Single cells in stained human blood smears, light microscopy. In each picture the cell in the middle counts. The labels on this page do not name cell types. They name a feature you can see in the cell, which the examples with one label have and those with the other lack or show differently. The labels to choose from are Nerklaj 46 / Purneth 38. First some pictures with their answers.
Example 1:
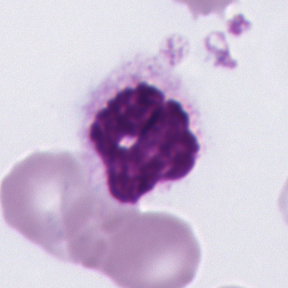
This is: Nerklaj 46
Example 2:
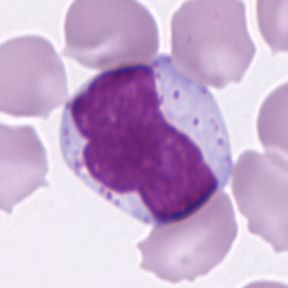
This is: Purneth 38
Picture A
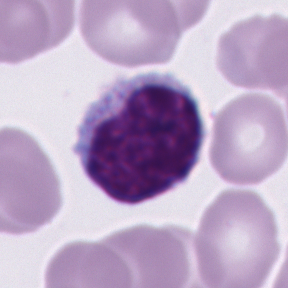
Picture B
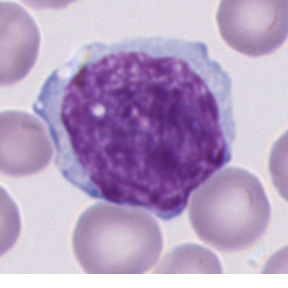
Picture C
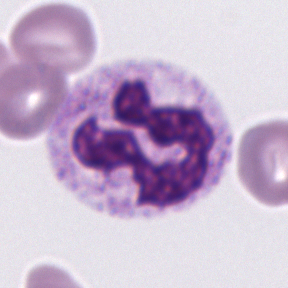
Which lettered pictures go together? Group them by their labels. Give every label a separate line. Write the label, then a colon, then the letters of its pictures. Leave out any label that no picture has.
Nerklaj 46: A, B
Purneth 38: C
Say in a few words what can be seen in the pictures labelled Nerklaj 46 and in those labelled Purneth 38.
Seen in Nerklaj 46: ragged outline or projections; seen in Purneth 38: smooth outline.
